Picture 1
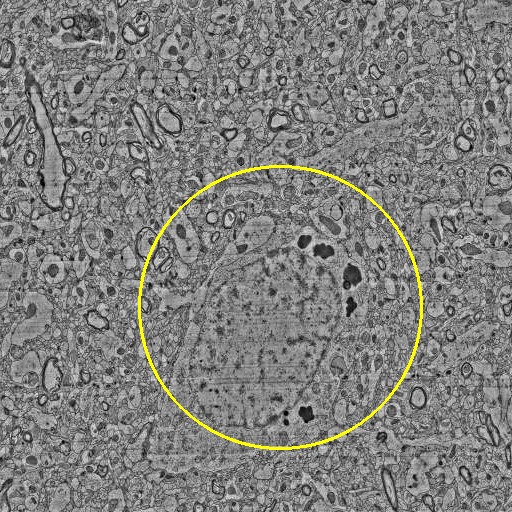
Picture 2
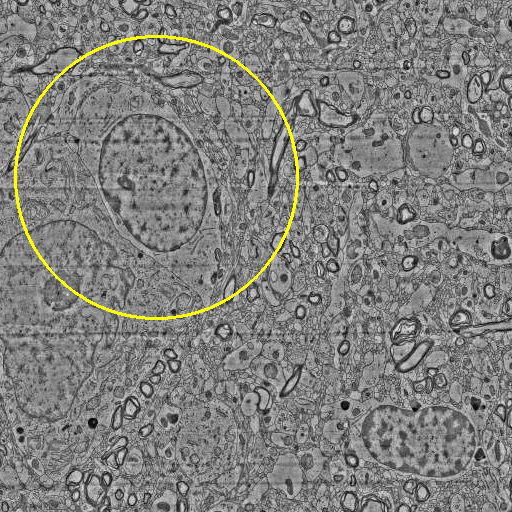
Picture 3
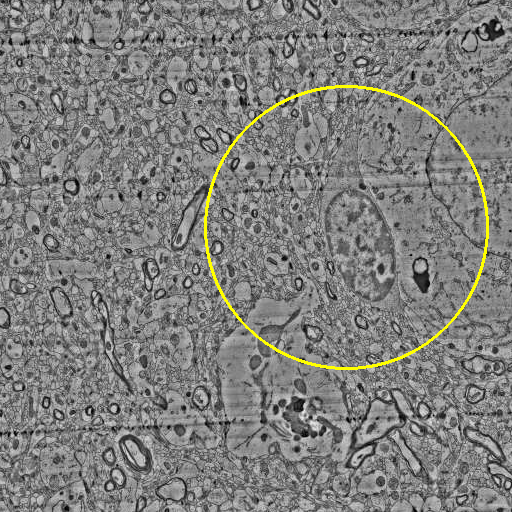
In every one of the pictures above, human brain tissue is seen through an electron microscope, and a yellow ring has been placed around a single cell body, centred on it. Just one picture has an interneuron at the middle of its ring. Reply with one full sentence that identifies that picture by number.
It is picture 1 that shows the wanted cell at its ring's centre.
